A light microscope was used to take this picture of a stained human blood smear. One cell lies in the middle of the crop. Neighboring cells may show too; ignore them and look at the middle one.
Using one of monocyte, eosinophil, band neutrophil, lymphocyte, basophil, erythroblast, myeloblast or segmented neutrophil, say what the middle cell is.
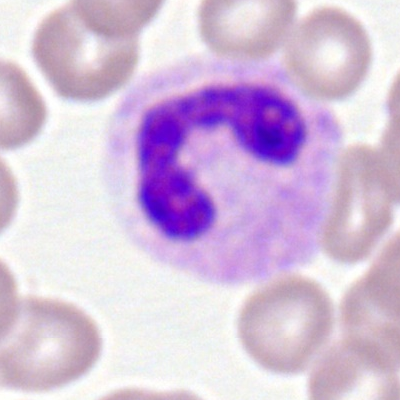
band neutrophil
